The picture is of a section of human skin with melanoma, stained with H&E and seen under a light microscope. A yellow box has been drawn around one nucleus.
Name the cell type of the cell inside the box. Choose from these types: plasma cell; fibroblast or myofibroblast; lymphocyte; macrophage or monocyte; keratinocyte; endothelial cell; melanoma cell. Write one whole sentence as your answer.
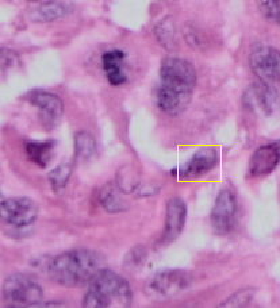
Just put down that the cell inside the box is a melanoma cell.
